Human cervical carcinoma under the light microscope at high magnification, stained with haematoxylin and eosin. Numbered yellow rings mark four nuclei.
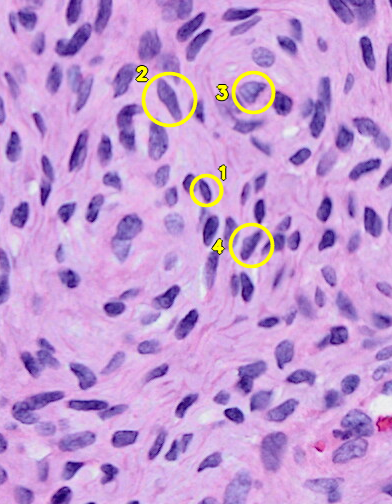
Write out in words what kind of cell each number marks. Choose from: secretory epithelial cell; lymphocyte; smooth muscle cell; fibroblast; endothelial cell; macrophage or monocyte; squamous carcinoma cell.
Cells 1, 2 and 4 are fibroblasts. Cell 3 is an endothelial cell.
